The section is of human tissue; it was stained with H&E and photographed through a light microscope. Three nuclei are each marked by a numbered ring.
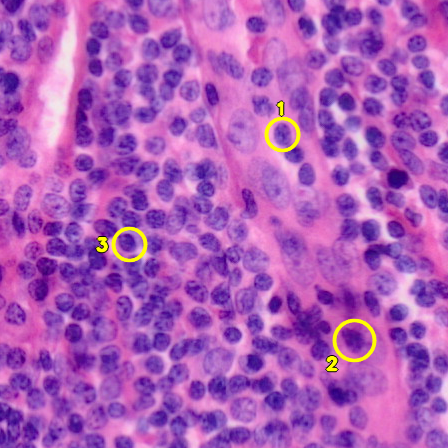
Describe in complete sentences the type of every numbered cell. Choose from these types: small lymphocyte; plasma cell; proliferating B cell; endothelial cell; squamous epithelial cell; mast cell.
Cells 1 and 2 are endothelial cells. Cell 3 is a small lymphocyte.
